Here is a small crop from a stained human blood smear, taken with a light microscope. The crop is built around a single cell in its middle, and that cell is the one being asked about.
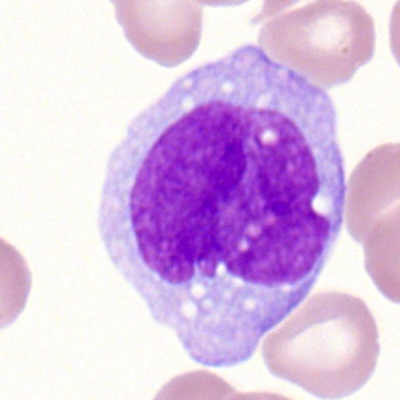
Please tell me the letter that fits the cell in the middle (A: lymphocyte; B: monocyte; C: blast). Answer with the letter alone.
B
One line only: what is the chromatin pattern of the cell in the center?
In this cell the chromatin is fine rather than coarsely clumped.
